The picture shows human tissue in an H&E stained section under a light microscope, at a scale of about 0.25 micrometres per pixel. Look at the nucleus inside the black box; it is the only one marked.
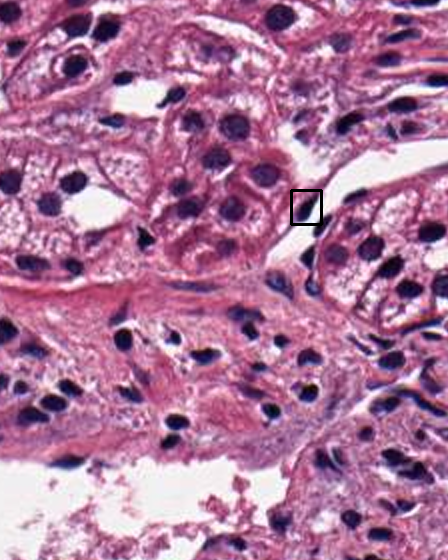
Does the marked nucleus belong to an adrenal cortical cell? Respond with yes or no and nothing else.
no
